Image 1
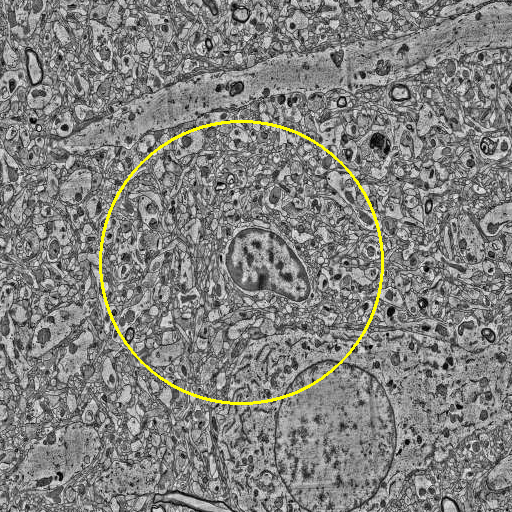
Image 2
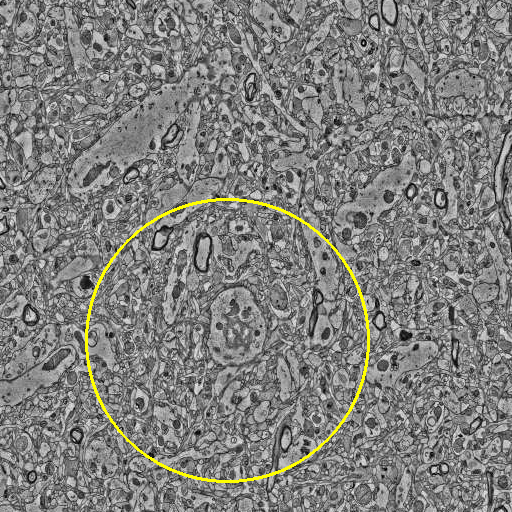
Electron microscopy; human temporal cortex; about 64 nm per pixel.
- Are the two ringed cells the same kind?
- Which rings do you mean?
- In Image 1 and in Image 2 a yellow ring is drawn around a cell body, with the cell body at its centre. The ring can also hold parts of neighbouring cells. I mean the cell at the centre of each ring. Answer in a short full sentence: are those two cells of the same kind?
No, the cells are of two kinds.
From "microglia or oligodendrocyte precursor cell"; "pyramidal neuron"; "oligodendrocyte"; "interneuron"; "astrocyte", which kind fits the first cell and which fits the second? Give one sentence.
The cell marked in the first picture is a microglial cell or oligodendrocyte precursor cell, and the one marked in the second is an interneuron.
